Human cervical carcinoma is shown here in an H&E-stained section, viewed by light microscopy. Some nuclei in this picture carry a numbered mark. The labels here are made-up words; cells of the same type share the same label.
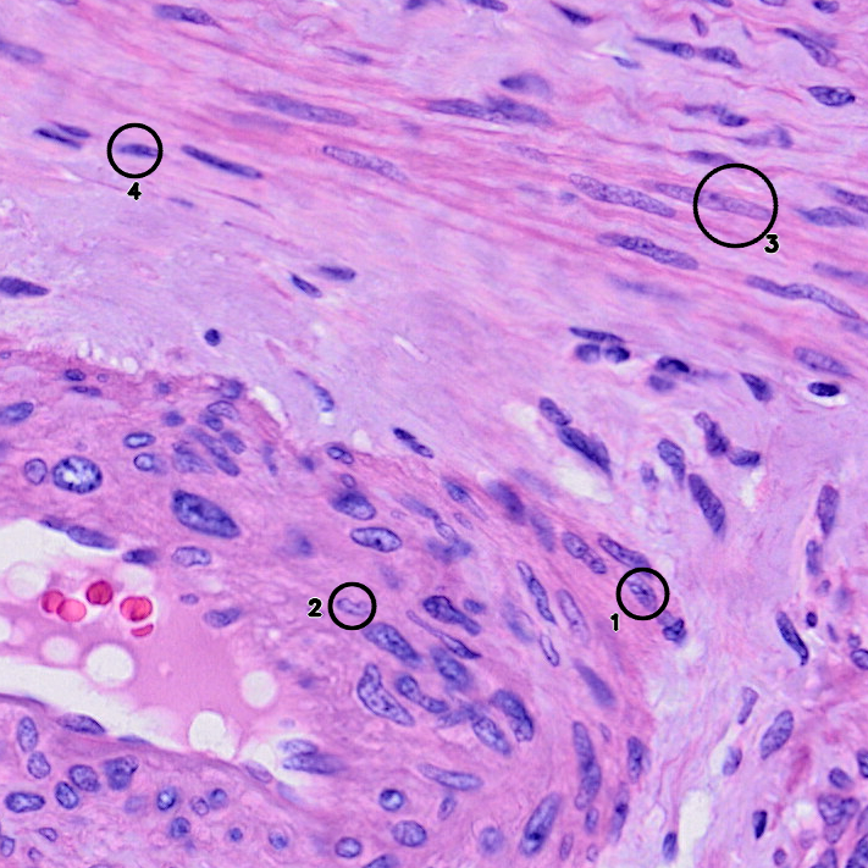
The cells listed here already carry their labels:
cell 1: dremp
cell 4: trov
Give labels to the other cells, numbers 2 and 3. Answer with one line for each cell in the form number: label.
2: dremp
3: dremp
